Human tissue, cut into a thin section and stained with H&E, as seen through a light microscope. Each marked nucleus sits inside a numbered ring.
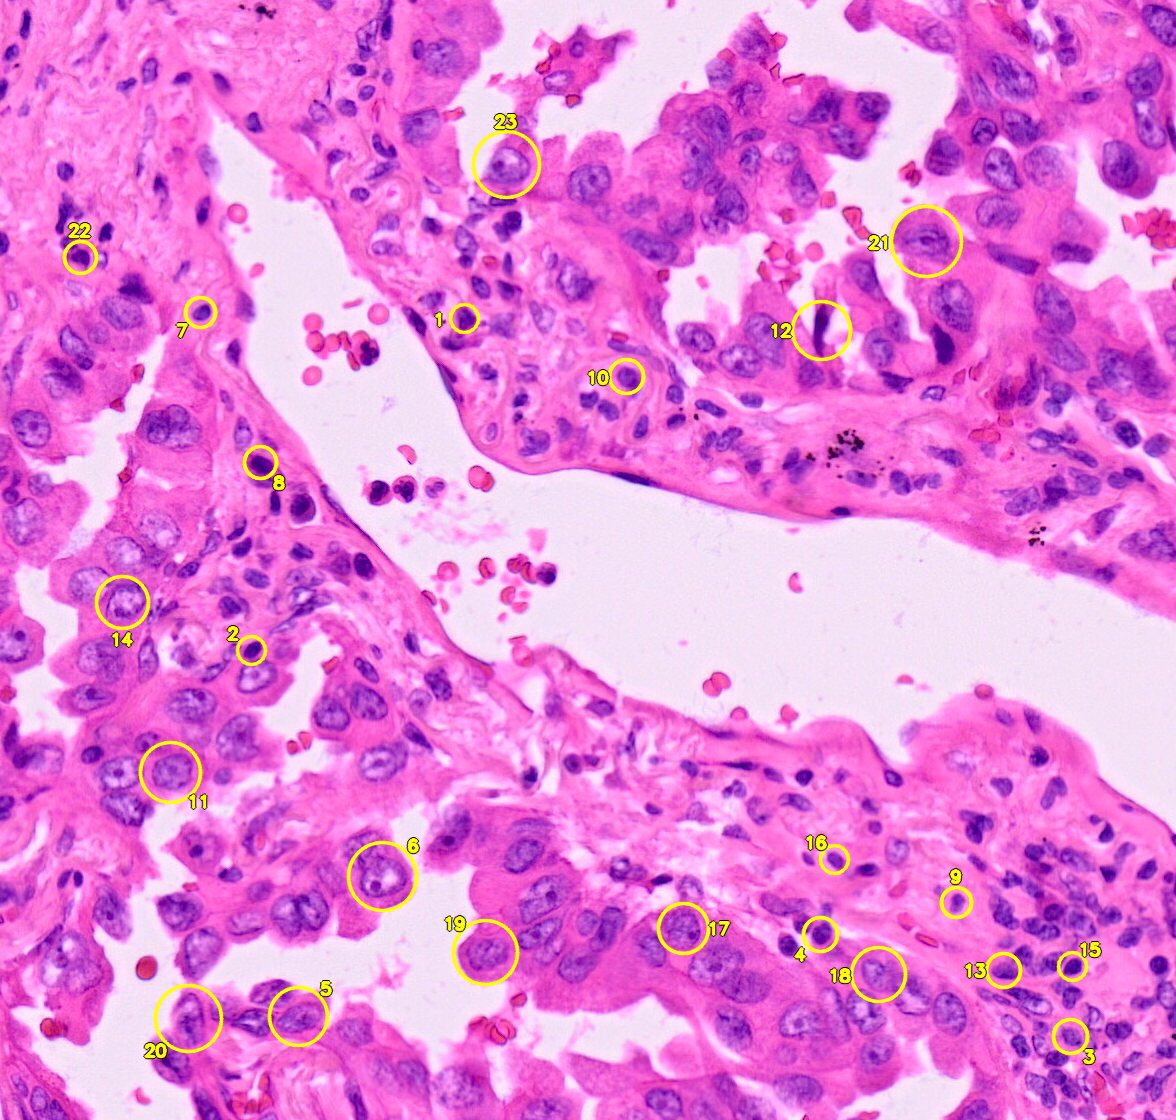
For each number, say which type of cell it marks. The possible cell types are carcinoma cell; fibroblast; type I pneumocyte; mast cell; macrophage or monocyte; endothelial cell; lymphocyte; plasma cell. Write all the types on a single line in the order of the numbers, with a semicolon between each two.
plasma cell; lymphocyte; lymphocyte; lymphocyte; carcinoma cell; carcinoma cell; lymphocyte; plasma cell; lymphocyte; plasma cell; carcinoma cell; carcinoma cell; lymphocyte; carcinoma cell; lymphocyte; lymphocyte; carcinoma cell; carcinoma cell; carcinoma cell; carcinoma cell; carcinoma cell; plasma cell; carcinoma cell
